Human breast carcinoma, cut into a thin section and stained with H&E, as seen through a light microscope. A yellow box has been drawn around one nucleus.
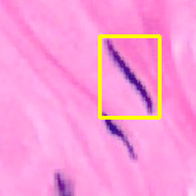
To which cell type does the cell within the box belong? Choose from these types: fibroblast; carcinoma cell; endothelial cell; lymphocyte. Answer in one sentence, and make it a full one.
Cytologically, the cell within the box is to be regarded as a fibroblast.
